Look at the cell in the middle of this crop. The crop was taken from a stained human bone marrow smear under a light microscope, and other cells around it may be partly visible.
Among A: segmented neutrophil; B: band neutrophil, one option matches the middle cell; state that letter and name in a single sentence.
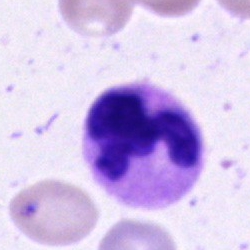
The cell in the middle is a segmented neutrophil, and so option A is correct.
